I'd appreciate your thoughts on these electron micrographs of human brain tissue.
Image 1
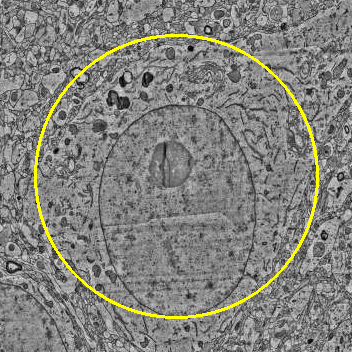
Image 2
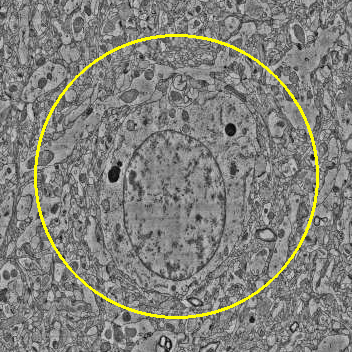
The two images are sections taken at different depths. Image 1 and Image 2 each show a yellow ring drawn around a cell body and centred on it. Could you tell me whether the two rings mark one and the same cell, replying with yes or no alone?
no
